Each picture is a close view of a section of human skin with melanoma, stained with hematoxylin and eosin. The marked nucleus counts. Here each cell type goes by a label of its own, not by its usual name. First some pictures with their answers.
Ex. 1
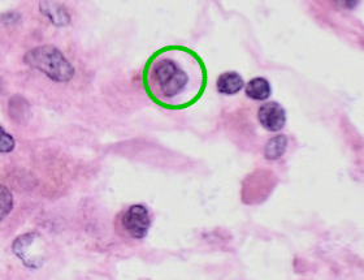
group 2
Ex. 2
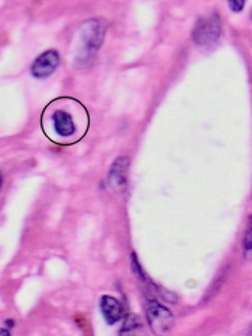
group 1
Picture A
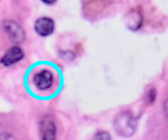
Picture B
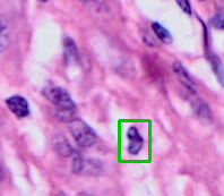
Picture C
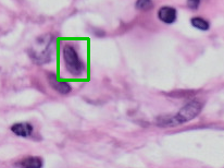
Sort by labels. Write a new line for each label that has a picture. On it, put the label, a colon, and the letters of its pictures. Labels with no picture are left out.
group 2: C
group 1: A, B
